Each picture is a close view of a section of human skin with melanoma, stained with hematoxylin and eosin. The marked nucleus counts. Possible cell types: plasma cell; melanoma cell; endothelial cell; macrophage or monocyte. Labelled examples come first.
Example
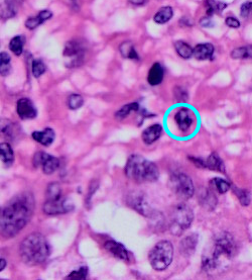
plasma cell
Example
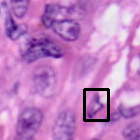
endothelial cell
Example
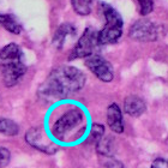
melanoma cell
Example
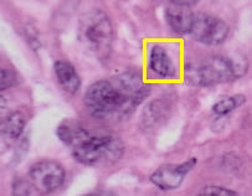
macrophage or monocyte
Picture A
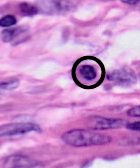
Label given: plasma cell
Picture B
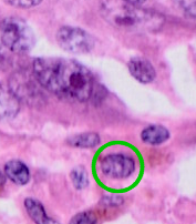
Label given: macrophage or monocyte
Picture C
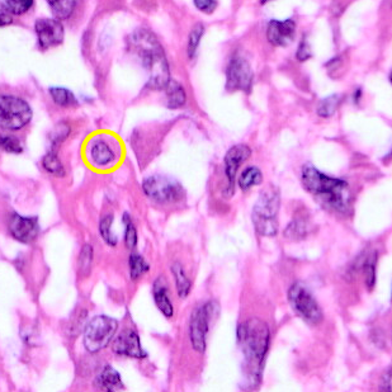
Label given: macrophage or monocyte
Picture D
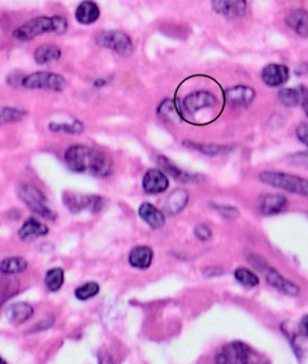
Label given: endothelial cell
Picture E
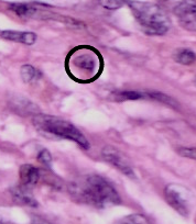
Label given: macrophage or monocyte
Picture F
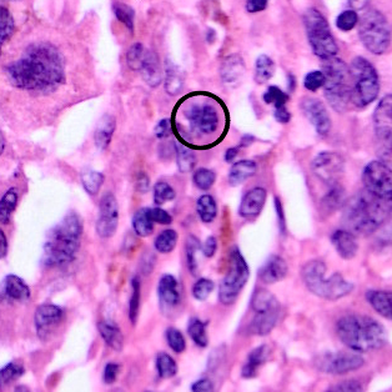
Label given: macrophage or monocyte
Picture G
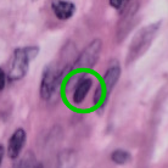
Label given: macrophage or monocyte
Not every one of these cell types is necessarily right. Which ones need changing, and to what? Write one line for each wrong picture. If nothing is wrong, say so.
Wrong: F (macrophage or monocyte); correct: plasma cell
Wrong: G (macrophage or monocyte); correct: endothelial cell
